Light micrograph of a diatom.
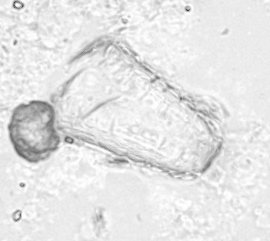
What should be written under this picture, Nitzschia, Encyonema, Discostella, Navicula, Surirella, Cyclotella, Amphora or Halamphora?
Cyclotella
